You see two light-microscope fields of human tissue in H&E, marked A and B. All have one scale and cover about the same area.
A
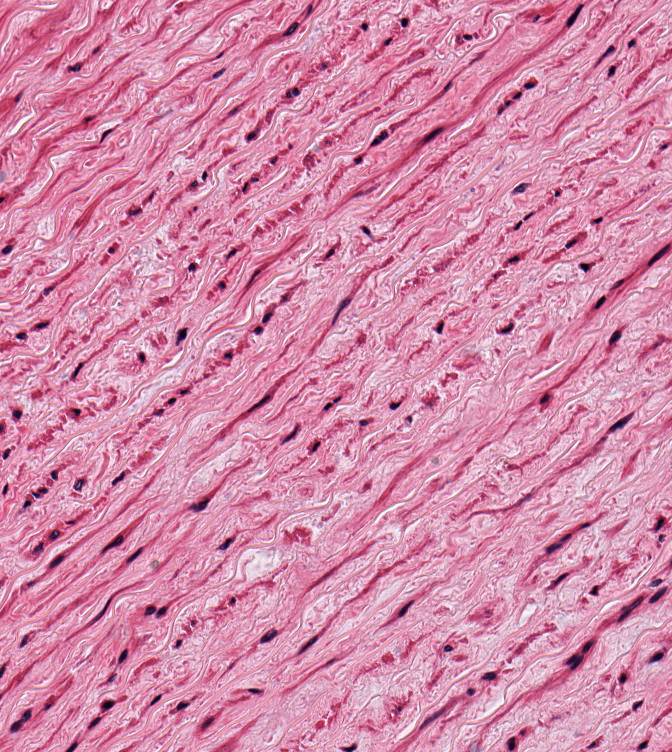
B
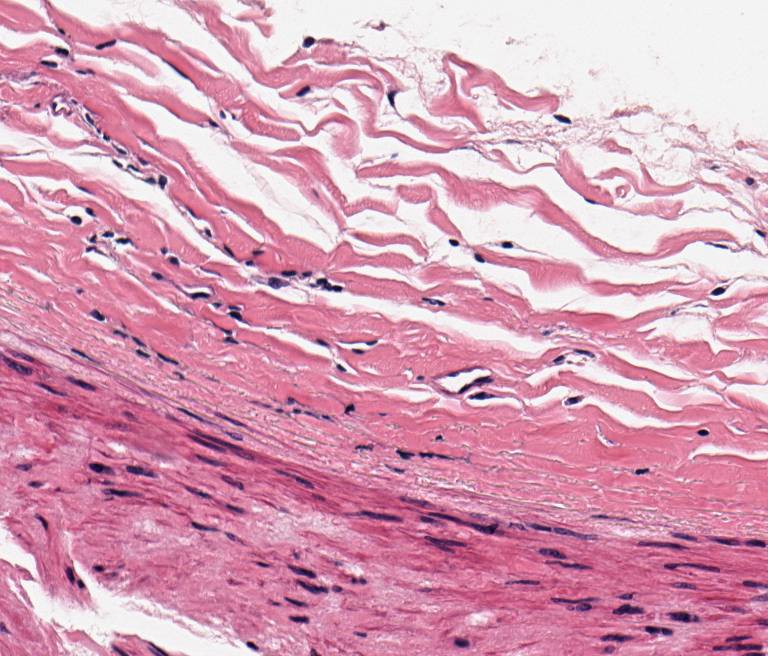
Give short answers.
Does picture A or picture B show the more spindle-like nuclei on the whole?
B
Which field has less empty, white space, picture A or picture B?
A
